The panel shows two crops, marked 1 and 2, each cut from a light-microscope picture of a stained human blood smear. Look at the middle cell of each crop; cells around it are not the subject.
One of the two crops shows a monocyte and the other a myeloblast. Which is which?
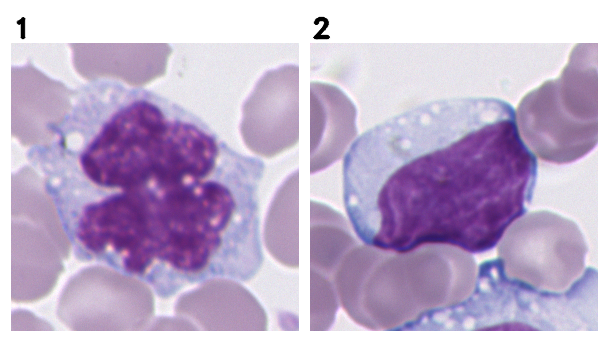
1: monocyte
2: myeloblast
